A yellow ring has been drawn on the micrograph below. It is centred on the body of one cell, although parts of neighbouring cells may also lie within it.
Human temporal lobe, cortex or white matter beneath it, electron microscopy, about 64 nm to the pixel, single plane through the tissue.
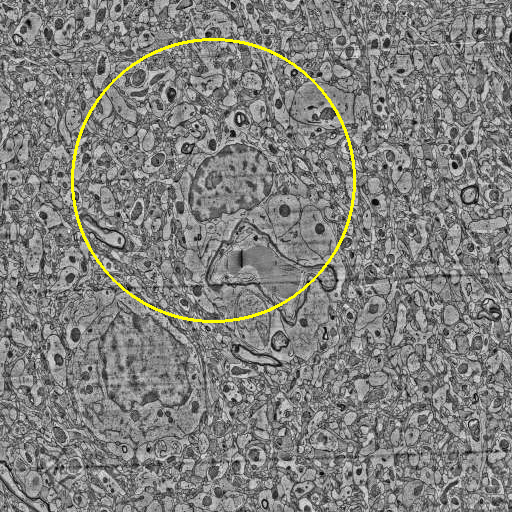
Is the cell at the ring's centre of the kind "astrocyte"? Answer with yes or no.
no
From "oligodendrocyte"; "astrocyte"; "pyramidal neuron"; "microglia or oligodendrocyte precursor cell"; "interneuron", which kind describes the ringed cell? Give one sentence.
The cell this ring marks is a microglial cell or oligodendrocyte precursor cell.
